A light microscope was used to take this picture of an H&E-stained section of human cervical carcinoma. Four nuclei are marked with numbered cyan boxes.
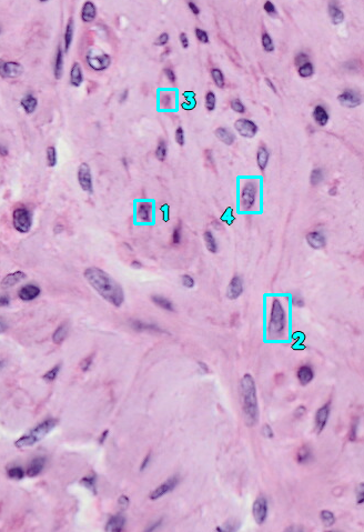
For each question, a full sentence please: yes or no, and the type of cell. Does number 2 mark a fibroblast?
Yes, and to answer plainly, cell 2 is a fibroblast.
